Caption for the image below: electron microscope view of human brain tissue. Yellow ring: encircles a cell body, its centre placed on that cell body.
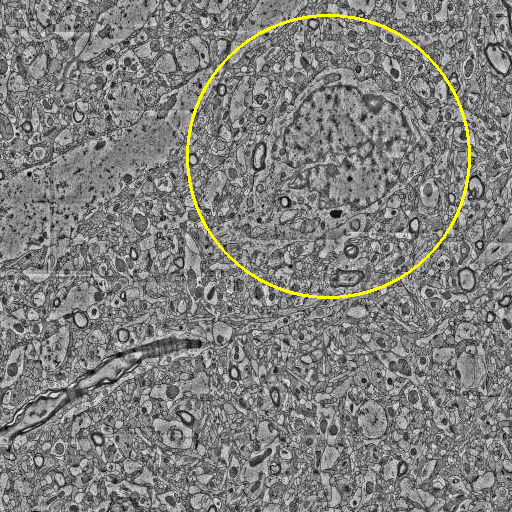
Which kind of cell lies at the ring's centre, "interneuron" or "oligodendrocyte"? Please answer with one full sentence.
The picture shows an interneuron at the centre of the yellow ring.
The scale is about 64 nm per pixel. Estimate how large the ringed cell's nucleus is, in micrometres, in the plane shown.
Roughly 8 micrometers across in this plane.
